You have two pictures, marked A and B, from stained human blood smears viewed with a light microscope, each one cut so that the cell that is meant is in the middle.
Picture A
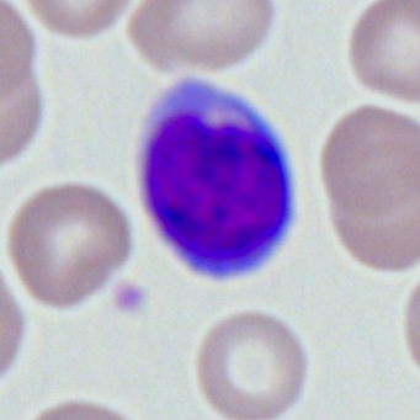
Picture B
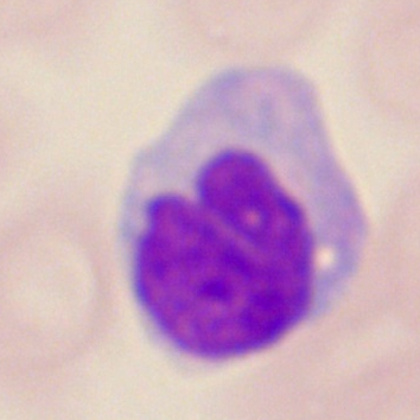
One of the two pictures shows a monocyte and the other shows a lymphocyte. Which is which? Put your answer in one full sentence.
Picture A shows a lymphocyte and picture B shows a monocyte.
